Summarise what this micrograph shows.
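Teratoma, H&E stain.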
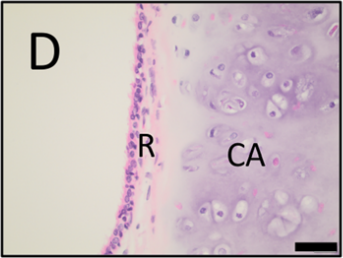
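This is hyaline cartilage bordered by a lining epithelium. On the right, the cartilage matrix stains pale blue-purple and holds rounded cells sitting singly or in small groups within clear spaces, some with two cells close together. Along the left edge lies a thin lining of closely packed cells with dark oval nuclei, facing an empty space. A narrow band of pink tissue separates the lining from the cartilage.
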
